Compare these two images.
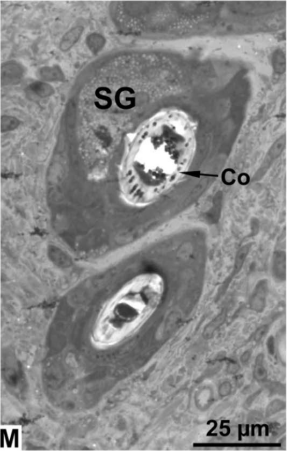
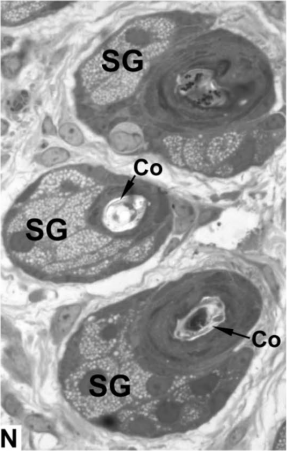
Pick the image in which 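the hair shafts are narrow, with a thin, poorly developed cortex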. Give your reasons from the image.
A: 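Second image: the hair shafts in the follicle centres are small, with only a thin pale ring of cortex. First image: the hair shafts are wider, with a broader cortex around dark pigment granules.
Conclusion: the second image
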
